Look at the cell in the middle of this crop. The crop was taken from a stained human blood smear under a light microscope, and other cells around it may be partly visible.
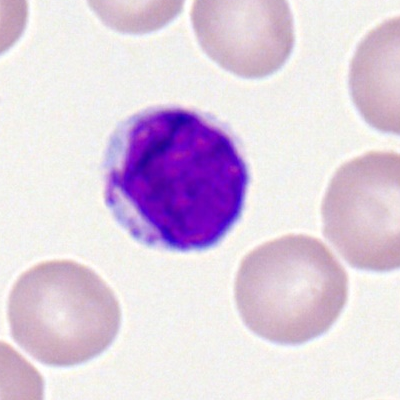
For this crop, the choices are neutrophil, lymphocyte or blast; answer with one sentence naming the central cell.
The cell of interest, located centrally, is a lymphocyte.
